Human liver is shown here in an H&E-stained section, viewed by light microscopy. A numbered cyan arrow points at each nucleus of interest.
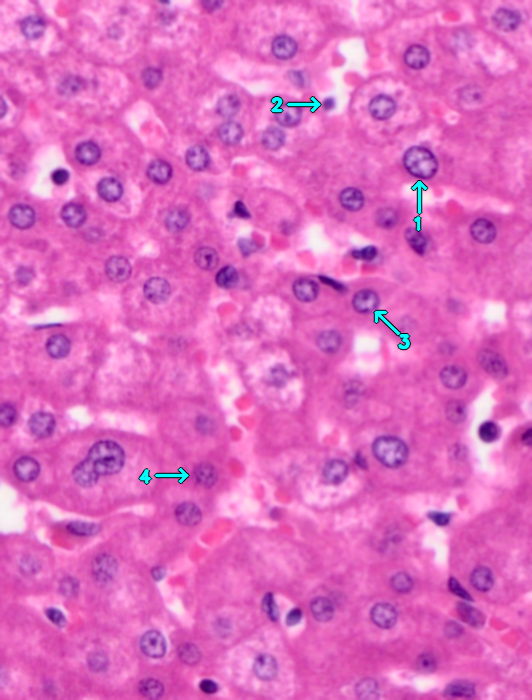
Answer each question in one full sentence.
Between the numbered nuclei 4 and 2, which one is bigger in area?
The larger nucleus is 4, at roughly 3 times the area of 2.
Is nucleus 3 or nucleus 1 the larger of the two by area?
At about 1.5 times the area of nucleus 3, nucleus 1 is the larger of the two.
